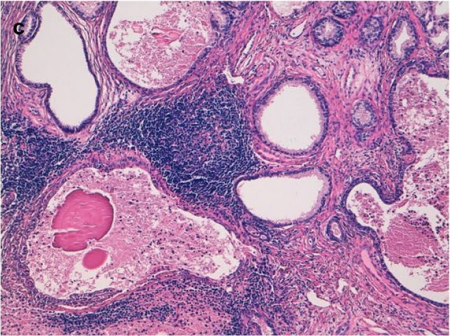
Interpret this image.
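This section of prostate shows confluent sheets of inflammatory cells forming a dense, dark-blue aggregate centred among glands. The aggregate is made of closely packed small round cells with dark nuclei and little cytoplasm, and it presses against the outlines of neighbouring glands. Several glands are dilated, with rounded lumens lined by a thin epithelium. Some lumens contain pink, homogeneous material and loose cells, while others appear empty and pale. Pink fibrous stroma forms thin bands between the glands.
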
